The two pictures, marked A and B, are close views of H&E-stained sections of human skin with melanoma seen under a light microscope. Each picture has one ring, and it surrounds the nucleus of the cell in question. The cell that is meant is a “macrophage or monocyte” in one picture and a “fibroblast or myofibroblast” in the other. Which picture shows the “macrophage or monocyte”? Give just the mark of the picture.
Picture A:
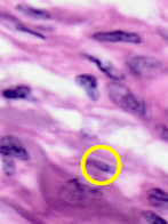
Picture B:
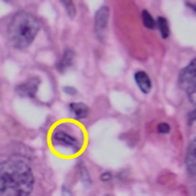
B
